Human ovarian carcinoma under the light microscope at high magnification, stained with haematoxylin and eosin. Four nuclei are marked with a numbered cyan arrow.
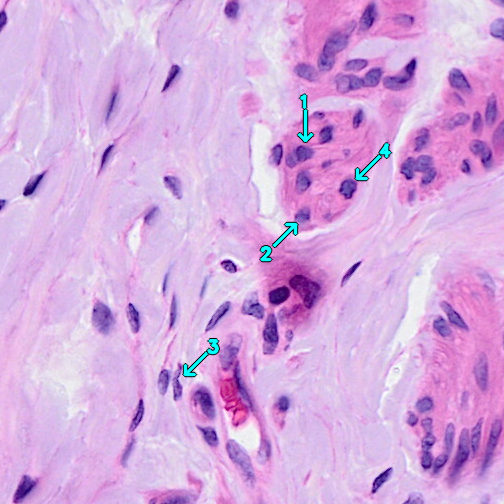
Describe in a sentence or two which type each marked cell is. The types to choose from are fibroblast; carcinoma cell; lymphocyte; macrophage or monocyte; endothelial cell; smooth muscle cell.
Cells 1, 2 and 4 are smooth muscle cells. Cell 3 is a fibroblast.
